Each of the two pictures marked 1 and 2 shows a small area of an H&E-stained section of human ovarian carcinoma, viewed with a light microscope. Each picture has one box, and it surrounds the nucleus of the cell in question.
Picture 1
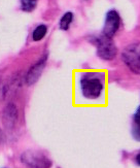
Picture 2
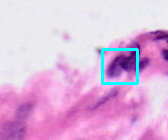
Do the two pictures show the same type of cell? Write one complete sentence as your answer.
No; the cell in picture 1 is a carcinoma cell, while the one in picture 2 is a “macrophage or monocyte”.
